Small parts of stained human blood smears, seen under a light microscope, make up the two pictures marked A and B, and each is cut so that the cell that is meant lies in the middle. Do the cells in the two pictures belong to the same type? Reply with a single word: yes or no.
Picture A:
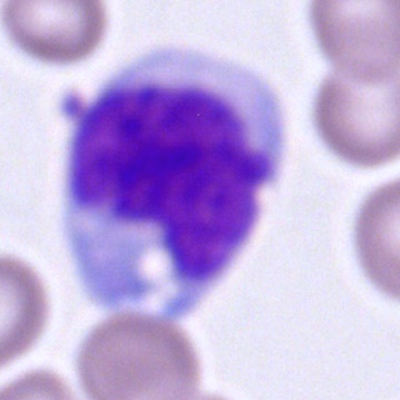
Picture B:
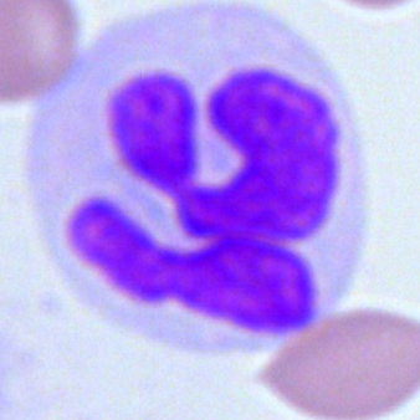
yes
